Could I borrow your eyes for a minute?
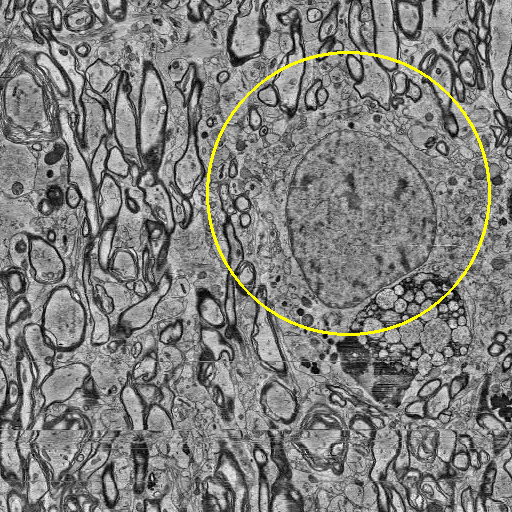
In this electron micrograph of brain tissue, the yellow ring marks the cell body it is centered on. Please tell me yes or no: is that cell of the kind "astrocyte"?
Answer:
yes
